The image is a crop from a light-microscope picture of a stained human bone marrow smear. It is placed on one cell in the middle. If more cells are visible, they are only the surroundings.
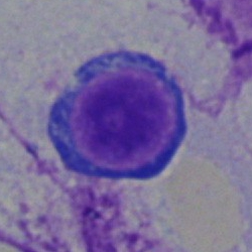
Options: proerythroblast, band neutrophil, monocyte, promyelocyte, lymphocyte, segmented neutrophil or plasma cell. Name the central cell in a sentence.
Classified as a proerythroblast is the cell in the middle of this crop.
